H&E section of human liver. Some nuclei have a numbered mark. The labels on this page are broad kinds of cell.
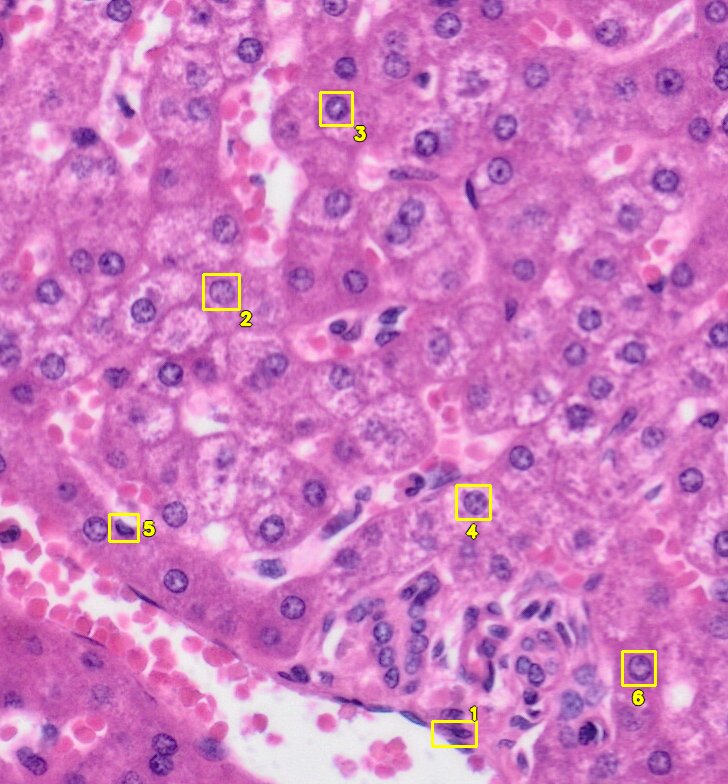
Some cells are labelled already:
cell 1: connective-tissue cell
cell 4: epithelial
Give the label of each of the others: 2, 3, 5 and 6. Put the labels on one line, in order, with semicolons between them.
epithelial; epithelial; connective-tissue cell; epithelial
